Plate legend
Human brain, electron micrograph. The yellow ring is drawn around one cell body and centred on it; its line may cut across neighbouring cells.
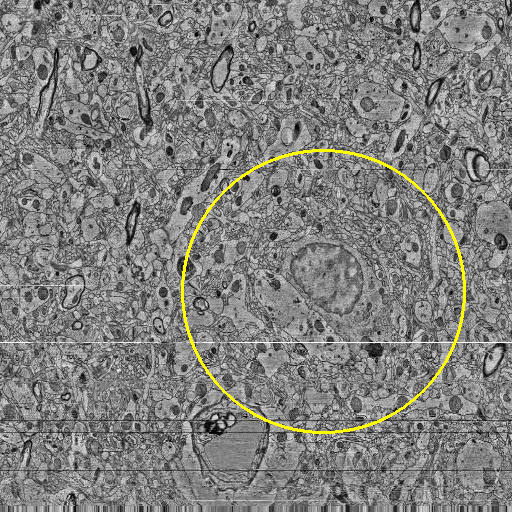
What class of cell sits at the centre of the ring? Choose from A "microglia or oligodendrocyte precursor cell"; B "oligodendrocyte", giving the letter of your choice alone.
B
